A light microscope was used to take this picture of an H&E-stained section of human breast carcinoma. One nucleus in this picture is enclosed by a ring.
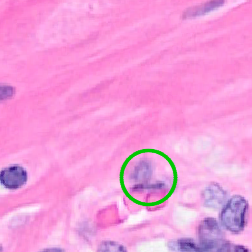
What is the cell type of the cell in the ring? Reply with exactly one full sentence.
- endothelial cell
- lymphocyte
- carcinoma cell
The category to which the cell in the ring belongs is that of an endothelial cell.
